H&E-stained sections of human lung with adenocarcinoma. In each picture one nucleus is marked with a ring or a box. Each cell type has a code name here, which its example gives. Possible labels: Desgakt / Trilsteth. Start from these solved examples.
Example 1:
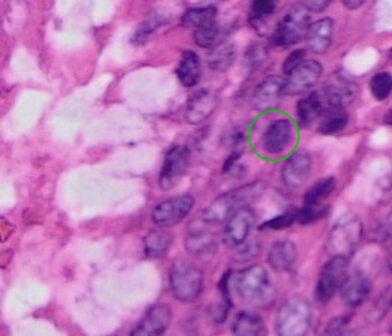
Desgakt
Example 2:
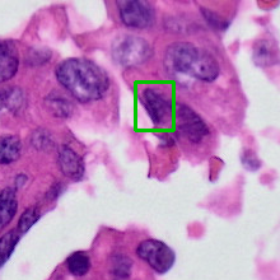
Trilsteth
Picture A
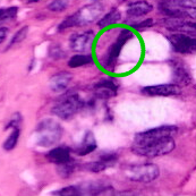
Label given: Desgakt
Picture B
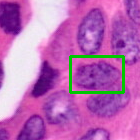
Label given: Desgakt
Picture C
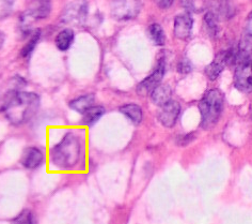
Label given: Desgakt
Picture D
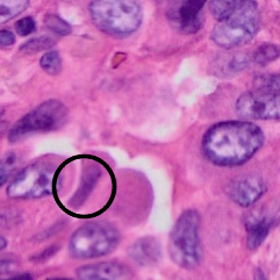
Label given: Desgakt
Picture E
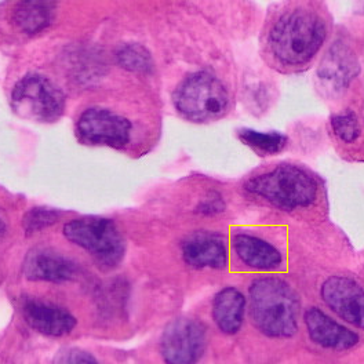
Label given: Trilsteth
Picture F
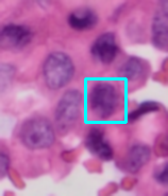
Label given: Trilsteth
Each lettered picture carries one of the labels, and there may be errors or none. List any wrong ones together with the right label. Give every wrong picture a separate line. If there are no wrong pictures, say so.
B: change Desgakt to Trilsteth
D: change Desgakt to Trilsteth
